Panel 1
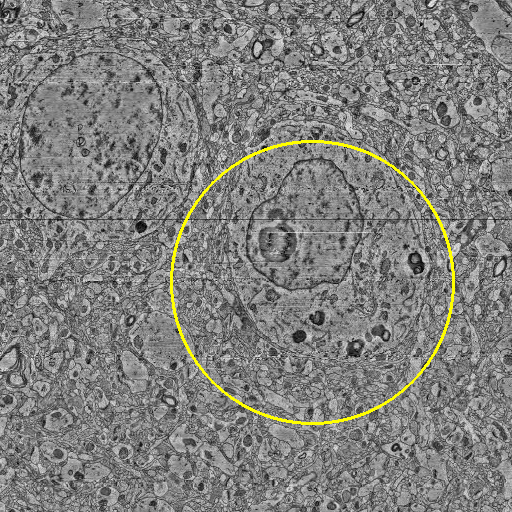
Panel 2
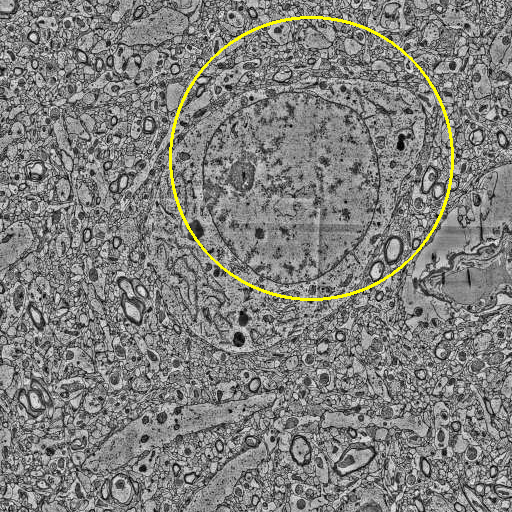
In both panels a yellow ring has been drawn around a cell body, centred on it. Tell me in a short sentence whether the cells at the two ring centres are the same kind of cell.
Yes, they are the same kind of cell.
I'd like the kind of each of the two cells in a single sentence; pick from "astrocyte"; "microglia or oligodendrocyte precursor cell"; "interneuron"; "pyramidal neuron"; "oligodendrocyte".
In each of the two pictures, the ringed cell is a pyramidal neuron.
